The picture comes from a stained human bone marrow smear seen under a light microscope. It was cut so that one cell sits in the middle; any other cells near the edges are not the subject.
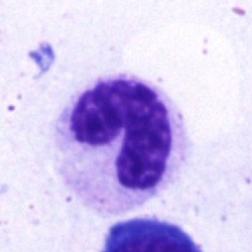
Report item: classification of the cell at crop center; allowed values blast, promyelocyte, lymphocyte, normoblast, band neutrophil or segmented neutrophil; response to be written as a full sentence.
As for the central cell, it is a band neutrophil.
